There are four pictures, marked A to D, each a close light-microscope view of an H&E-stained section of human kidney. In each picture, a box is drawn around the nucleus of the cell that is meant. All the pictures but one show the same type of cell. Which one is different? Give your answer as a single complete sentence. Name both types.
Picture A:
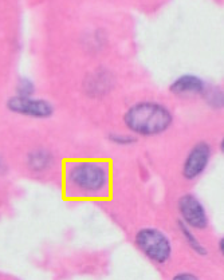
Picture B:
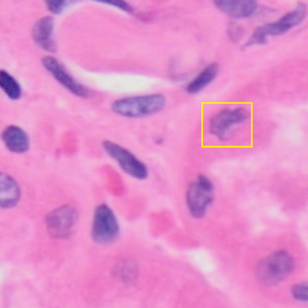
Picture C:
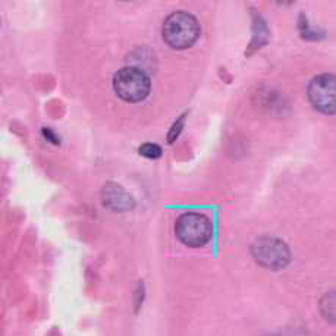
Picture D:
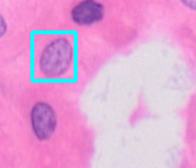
All pictures except A show proximal tubule cells; picture A shows a “loop of Henle or distal tubule cell”.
